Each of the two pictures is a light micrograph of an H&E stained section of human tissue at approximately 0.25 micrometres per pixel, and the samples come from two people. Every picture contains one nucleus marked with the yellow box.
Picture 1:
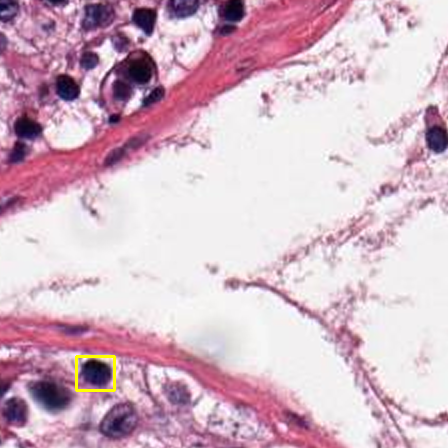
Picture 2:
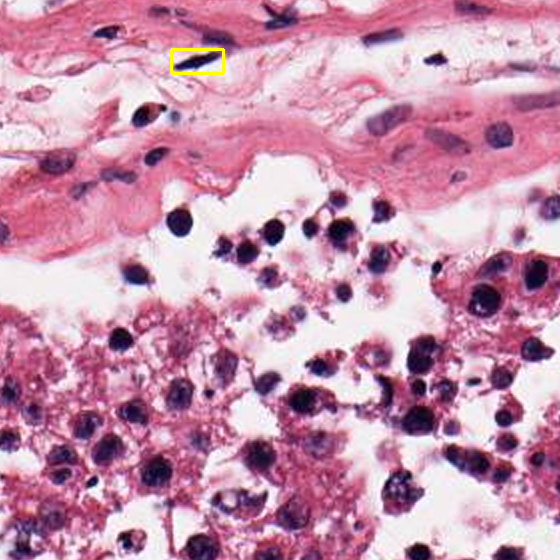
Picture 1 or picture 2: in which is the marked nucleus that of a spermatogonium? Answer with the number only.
1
